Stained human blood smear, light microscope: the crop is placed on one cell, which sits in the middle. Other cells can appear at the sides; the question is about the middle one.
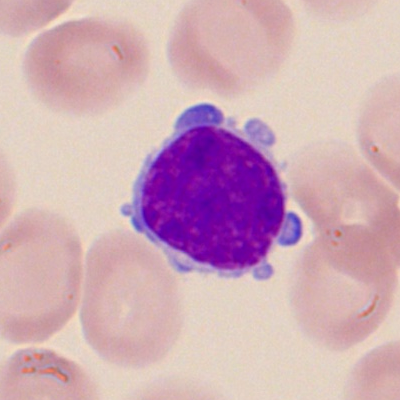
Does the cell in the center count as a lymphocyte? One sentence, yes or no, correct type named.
Yes, in this crop the cell in the middle is a lymphocyte.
